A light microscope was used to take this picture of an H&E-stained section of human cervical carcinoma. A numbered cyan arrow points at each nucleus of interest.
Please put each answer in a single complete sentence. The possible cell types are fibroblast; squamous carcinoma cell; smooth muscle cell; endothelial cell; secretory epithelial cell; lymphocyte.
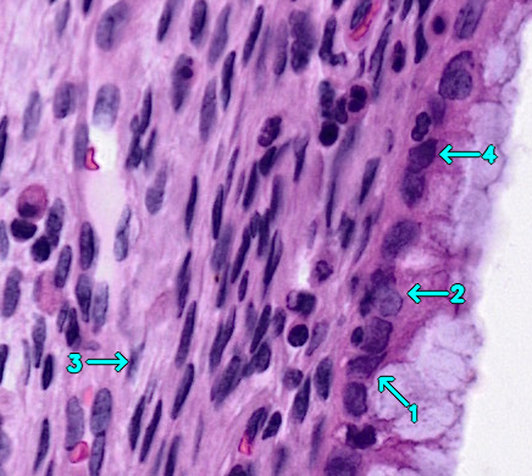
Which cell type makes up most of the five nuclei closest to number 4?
Secretory epithelial cells make up most of the five nuclei closest to number 4.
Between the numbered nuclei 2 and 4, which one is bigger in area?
Number 2 is larger; its area is about 1.5 times that of number 4.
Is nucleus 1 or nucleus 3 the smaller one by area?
Number 3 is smaller, since number 1 takes up about 1.5 times as much area.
